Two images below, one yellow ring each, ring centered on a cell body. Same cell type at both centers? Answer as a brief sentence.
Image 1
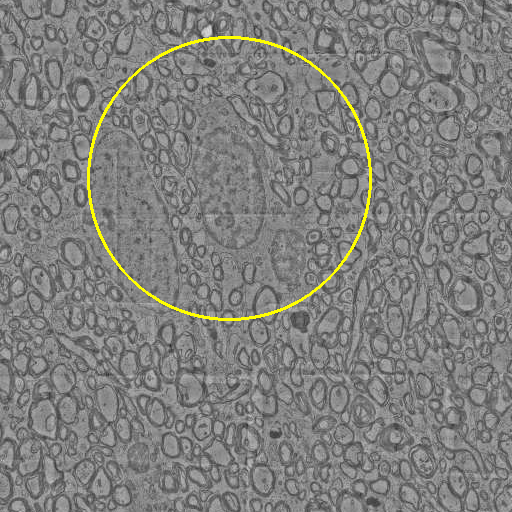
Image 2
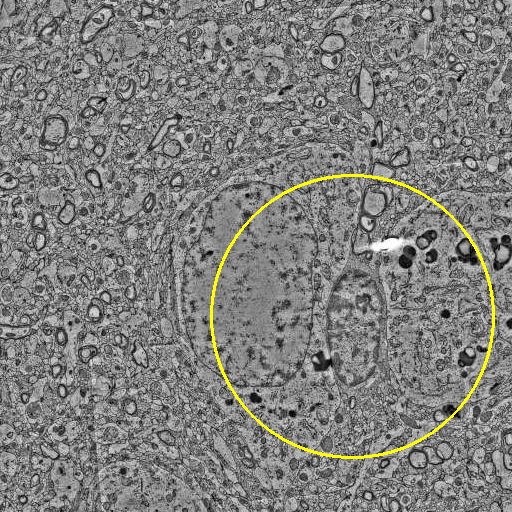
Yes, both cells are of the same type.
